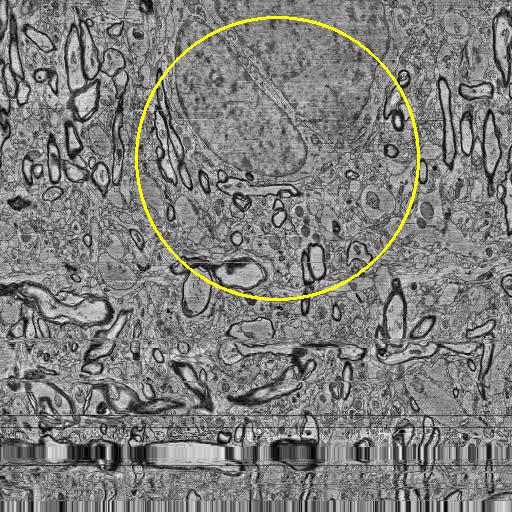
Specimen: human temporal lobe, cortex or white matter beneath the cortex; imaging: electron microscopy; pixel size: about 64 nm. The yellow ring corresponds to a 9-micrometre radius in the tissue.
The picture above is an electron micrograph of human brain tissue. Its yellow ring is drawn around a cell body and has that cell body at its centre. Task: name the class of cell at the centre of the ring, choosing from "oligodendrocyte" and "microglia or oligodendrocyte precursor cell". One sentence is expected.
The ring surrounds the body of a microglial cell or oligodendrocyte precursor cell.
